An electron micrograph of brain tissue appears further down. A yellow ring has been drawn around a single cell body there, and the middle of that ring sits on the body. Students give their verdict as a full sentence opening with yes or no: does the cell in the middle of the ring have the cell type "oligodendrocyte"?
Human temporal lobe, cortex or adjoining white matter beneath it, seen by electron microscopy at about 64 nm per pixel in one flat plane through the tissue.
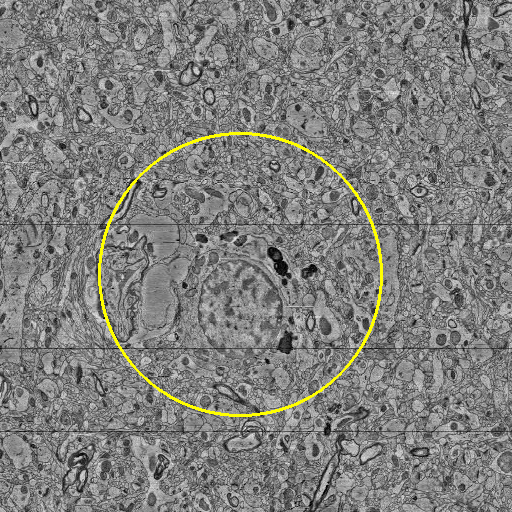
Yes, in this picture the cell sitting at the middle of the ring has that cell type.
